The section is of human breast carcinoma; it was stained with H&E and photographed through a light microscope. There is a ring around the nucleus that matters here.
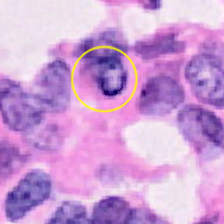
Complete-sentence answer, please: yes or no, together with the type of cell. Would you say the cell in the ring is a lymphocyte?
No, a carcinoma cell is what the cell in the ring is, not a lymphocyte.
